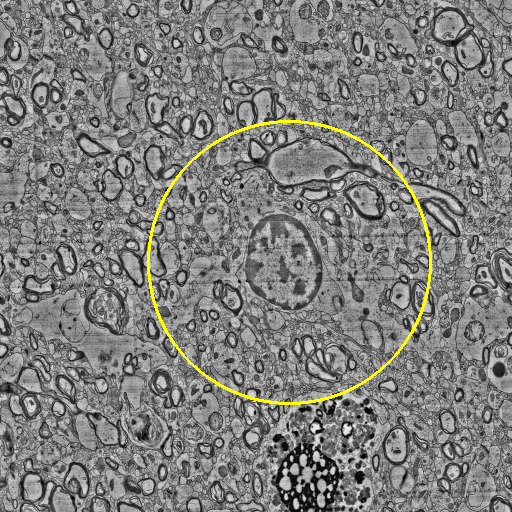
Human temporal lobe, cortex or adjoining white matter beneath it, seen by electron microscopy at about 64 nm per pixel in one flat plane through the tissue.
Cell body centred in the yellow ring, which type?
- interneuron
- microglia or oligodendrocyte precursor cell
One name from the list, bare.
microglia or oligodendrocyte precursor cell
